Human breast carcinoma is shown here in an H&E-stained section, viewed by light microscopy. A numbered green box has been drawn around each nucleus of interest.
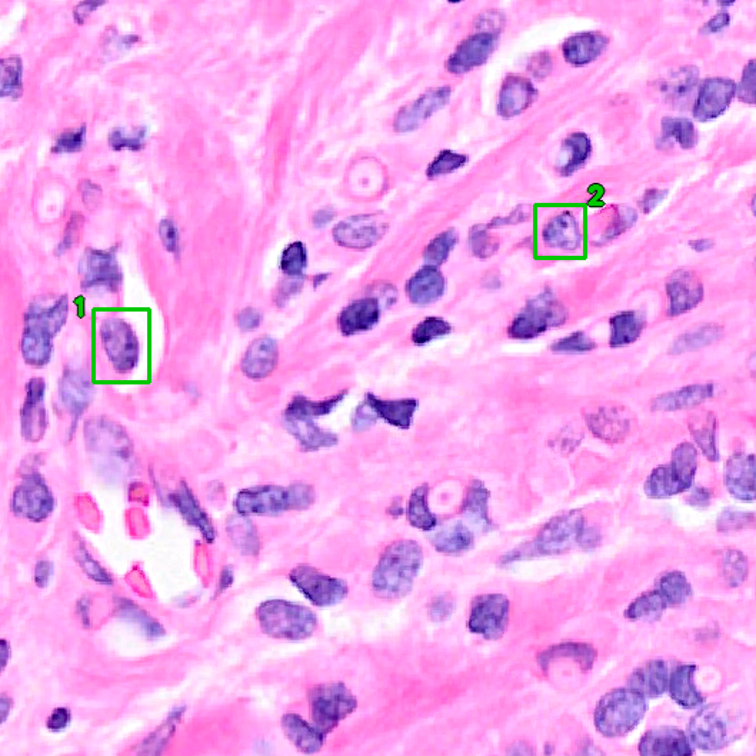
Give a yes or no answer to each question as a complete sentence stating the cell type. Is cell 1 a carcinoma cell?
Yes, number 1 corresponds to a carcinoma cell.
